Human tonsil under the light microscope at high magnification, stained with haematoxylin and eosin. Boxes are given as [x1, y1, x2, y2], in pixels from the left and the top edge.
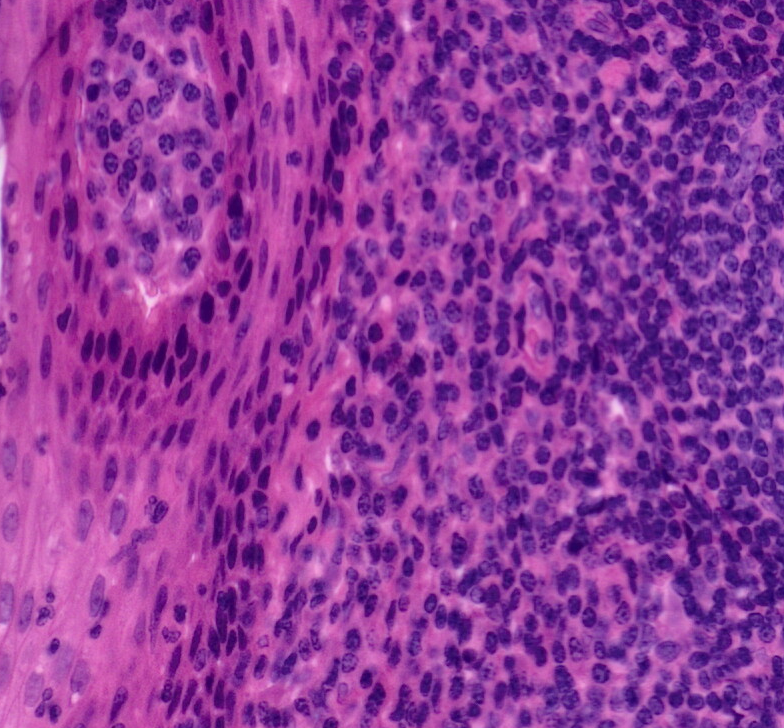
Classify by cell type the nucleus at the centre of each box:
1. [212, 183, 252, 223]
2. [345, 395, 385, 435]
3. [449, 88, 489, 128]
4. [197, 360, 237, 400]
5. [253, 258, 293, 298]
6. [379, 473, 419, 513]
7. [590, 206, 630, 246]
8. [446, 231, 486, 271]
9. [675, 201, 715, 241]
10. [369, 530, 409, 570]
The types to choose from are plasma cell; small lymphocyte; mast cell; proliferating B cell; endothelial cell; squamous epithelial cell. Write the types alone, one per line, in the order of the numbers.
squamous epithelial cell
plasma cell
plasma cell
squamous epithelial cell
squamous epithelial cell
plasma cell
small lymphocyte
plasma cell
small lymphocyte
plasma cell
